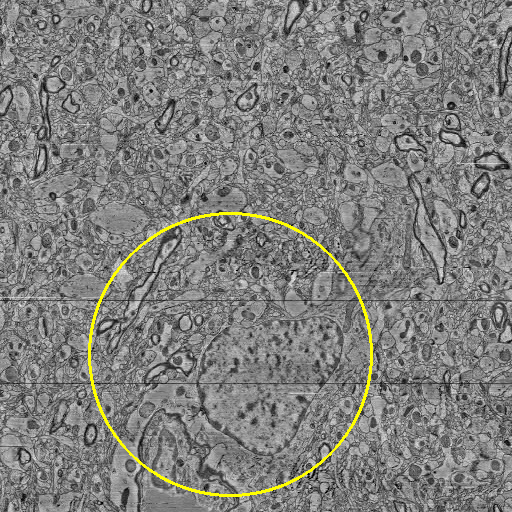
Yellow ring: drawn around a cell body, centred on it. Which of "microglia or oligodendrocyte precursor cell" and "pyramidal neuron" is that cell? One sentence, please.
That cell body is from a microglial cell or oligodendrocyte precursor cell.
